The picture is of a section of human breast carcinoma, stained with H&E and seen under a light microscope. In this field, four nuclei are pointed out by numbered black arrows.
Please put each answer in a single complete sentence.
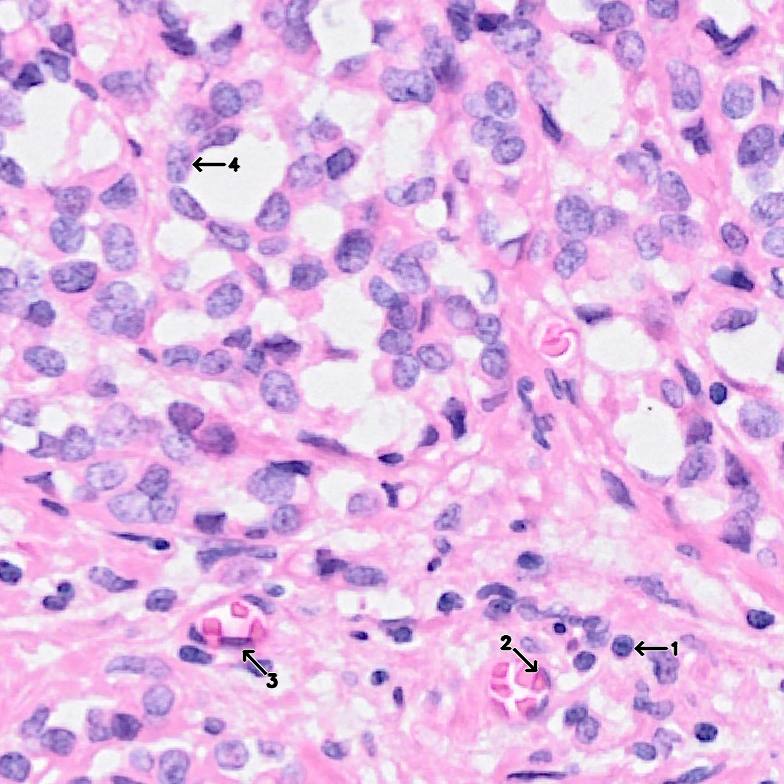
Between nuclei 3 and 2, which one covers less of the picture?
Number 2 is smaller, since number 3 takes up about 2 times as much area.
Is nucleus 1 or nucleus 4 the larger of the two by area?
Number 4 is larger; its area is about 2 times that of number 1.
